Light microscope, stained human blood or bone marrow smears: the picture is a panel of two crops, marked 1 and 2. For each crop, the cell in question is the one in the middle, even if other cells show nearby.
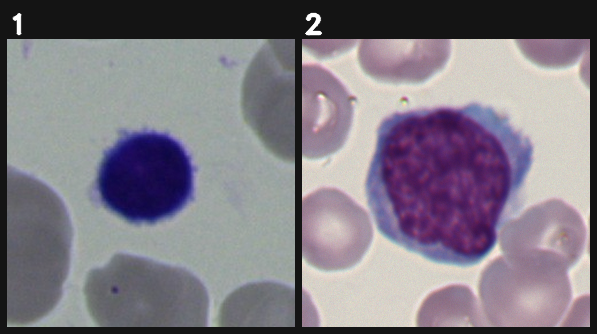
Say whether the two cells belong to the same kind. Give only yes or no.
no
